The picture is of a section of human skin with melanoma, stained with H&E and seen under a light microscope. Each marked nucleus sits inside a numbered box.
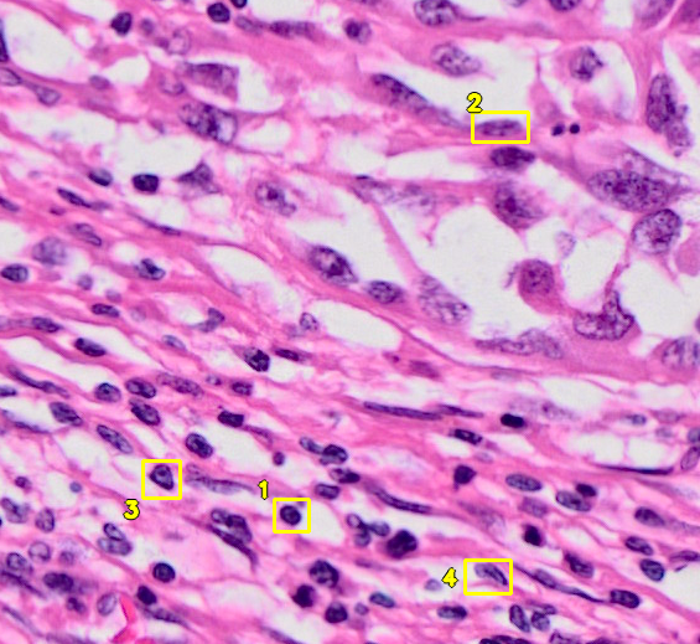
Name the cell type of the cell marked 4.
lymphocyte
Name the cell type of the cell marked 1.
lymphocyte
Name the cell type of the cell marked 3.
lymphocyte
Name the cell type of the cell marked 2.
melanoma cell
